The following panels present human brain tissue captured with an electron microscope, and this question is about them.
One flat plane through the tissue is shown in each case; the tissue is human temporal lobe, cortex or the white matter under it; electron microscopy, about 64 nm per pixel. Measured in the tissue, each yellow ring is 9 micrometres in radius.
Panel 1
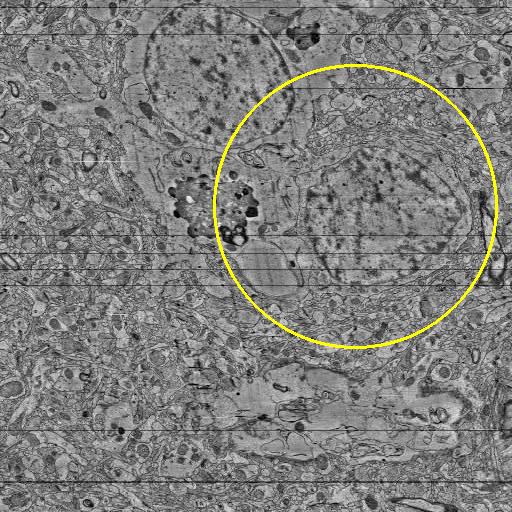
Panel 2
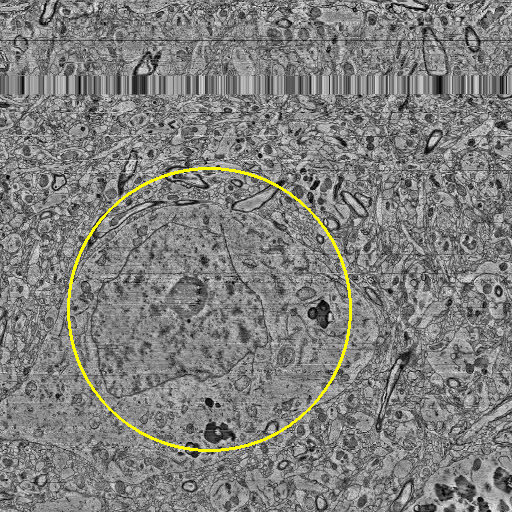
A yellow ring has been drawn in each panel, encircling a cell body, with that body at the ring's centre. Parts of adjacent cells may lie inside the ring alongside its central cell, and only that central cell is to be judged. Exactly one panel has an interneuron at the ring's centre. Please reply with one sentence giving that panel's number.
The ring whose central cell fits the description is the one in panel 1.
